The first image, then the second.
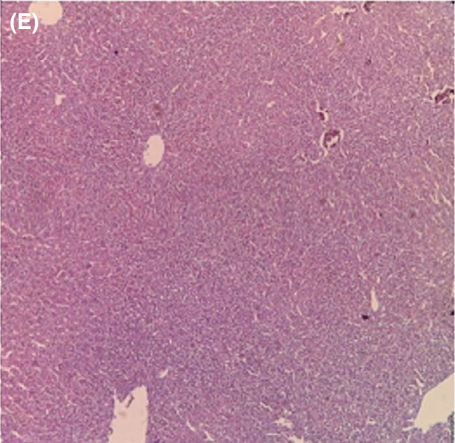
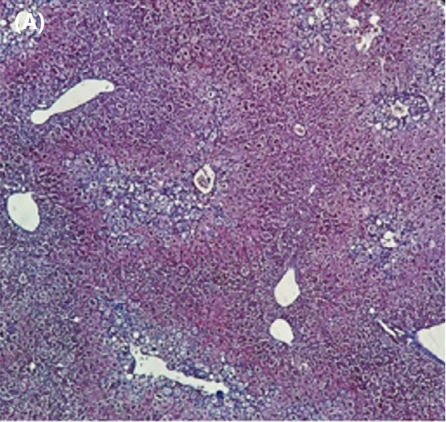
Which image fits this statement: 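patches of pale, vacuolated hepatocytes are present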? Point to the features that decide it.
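First image: the parenchyma is evenly pink with no pale patches. Second image: several pale, clear-vacuolated zones stand out in the darker purple parenchyma.
The second image.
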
